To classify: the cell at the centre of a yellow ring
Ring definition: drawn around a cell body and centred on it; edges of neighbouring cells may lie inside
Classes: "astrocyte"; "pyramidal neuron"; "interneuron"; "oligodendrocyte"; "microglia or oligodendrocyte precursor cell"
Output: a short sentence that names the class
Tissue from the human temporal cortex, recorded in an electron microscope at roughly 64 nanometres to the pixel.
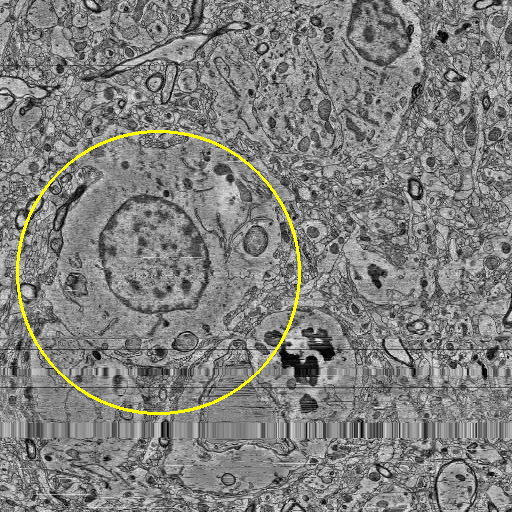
The ringed cell is an astrocyte.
